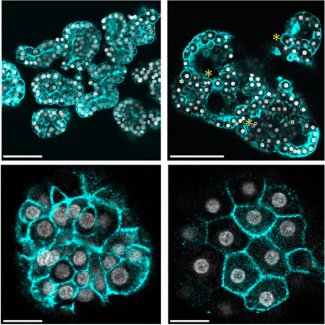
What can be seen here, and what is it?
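At high magnification the cells form a polygonal, cobblestone sheet. In one pair of images the cells look larger, with more cytoplasm around each nucleus.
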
